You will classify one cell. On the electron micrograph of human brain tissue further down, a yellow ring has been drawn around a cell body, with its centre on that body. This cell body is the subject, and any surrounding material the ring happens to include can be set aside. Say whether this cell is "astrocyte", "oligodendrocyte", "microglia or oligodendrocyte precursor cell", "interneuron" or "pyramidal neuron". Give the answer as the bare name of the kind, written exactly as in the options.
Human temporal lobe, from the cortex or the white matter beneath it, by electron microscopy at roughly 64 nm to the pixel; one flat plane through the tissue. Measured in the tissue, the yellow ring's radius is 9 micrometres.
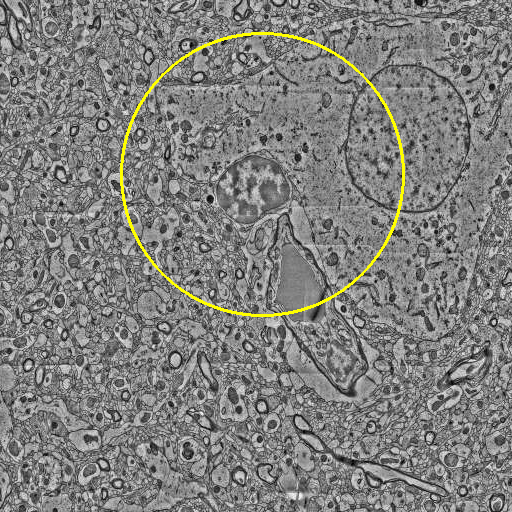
microglia or oligodendrocyte precursor cell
